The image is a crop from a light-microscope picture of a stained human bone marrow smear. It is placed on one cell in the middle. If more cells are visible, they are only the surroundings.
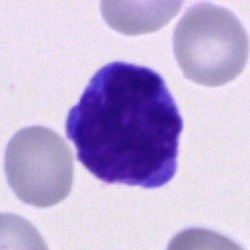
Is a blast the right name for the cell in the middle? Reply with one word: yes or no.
yes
